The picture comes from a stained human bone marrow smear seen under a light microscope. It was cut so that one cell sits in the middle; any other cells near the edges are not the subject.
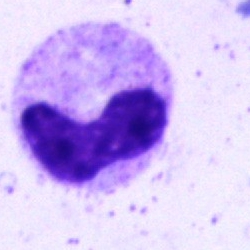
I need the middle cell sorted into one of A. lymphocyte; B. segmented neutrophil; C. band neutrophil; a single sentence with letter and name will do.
The cell in the middle is a band neutrophil, so option C is correct.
